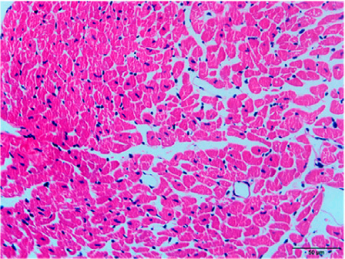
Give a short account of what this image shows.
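This is myocardial tissue in which cardiac muscle fibres are cut mostly in cross and oblique section and packed closely in bundles. The fibres have pink, evenly stained cytoplasm, and small dark blue nuclei are scattered among them. Narrow pale spaces separate the bundles, and a small vessel lies within the interstitium.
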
